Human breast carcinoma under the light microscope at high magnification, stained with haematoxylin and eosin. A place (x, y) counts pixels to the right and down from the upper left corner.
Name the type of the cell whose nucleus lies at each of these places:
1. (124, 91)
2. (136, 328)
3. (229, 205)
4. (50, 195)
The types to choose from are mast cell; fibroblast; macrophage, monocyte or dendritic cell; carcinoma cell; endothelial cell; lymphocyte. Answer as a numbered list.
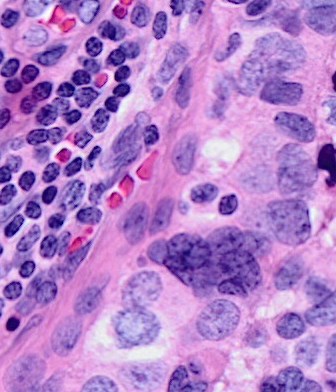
1. lymphocyte
2. carcinoma cell
3. lymphocyte
4. lymphocyte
